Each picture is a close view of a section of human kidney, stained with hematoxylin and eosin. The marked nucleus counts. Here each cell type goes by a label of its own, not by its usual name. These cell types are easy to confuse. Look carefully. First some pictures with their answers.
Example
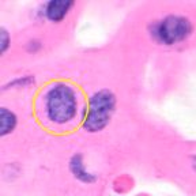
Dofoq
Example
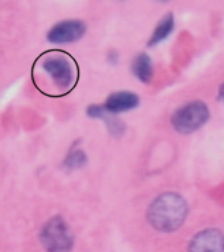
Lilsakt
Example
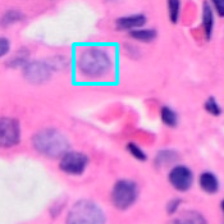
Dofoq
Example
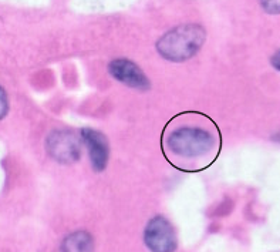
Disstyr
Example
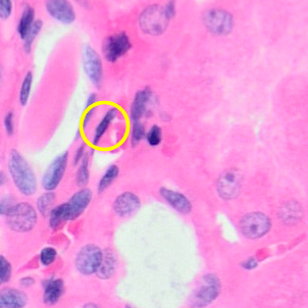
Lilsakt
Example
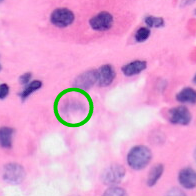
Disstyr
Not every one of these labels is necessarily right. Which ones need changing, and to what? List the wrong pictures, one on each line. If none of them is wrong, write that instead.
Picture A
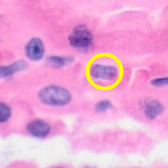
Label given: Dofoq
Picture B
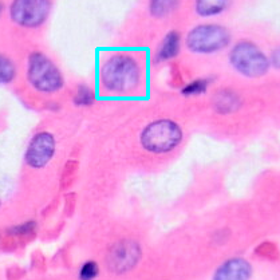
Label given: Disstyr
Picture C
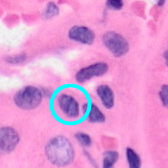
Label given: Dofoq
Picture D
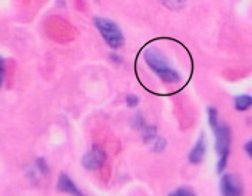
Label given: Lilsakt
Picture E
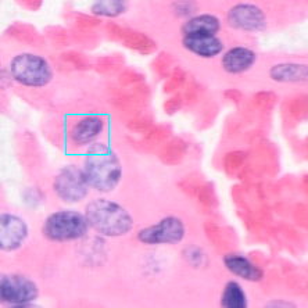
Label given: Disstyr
A: Lilsakt, not Dofoq
E: Dofoq, not Disstyr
